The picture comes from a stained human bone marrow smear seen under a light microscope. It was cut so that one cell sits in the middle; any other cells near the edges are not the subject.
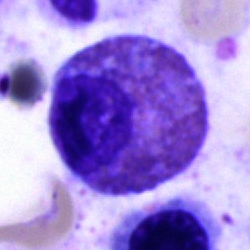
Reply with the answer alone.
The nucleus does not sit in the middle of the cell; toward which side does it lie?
left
